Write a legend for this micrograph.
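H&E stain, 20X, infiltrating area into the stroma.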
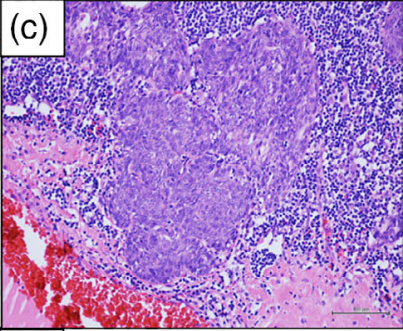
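A nest of large, poorly differentiated tumour cells lies within a dense background of small lymphocytes. The tumour cells are crowded together, with pale purple cytoplasm and large oval nuclei, and their borders are hard to tell apart. Around the nest the small lymphocytes have round, dark-blue nuclei and scant cytoplasm. At the lower left lies a cluster of red blood cells beside pink fibrous tissue.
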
